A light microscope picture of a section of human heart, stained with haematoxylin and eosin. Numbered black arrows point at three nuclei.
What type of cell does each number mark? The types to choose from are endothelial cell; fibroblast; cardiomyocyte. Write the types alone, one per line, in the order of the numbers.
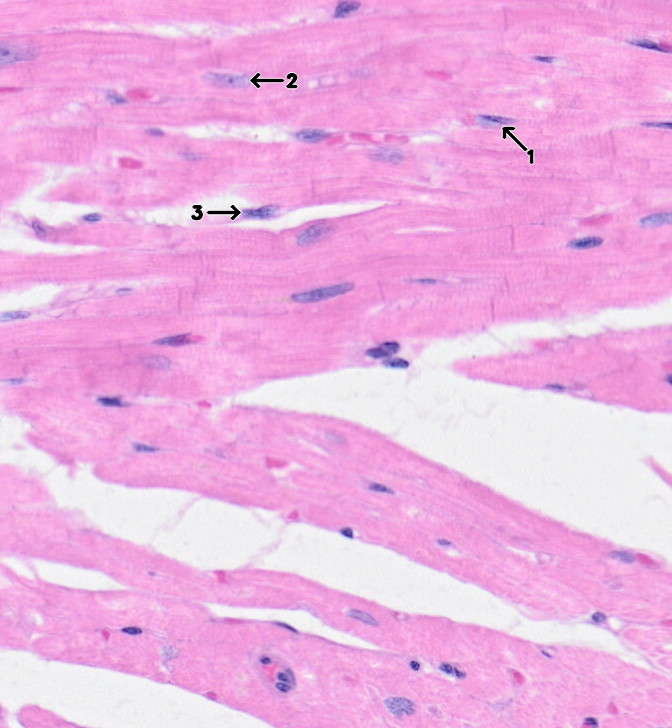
endothelial cell
cardiomyocyte
endothelial cell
